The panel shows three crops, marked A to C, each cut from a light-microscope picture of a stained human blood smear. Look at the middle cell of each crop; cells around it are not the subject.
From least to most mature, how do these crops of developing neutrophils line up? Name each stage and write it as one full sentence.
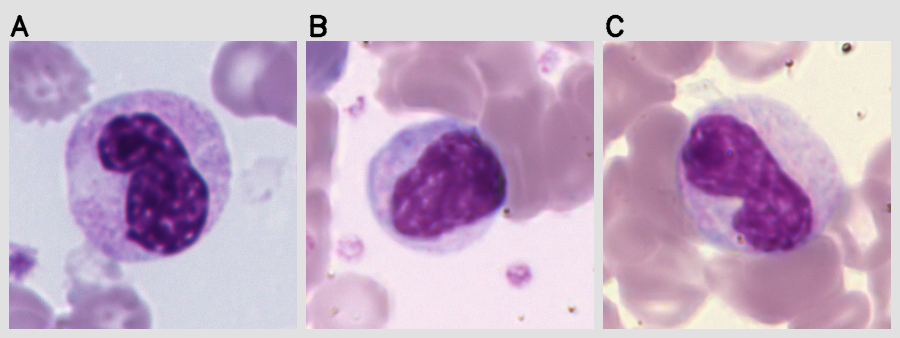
In ascending maturational order, the crops are crop B (a metamyelocyte), crop C (a band neutrophil) and crop A (a segmented neutrophil).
